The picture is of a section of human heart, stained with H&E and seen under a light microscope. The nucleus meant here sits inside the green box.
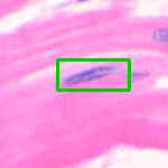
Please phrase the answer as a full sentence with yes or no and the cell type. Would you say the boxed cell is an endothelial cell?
Yes, an endothelial cell is what the boxed cell is in this section.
